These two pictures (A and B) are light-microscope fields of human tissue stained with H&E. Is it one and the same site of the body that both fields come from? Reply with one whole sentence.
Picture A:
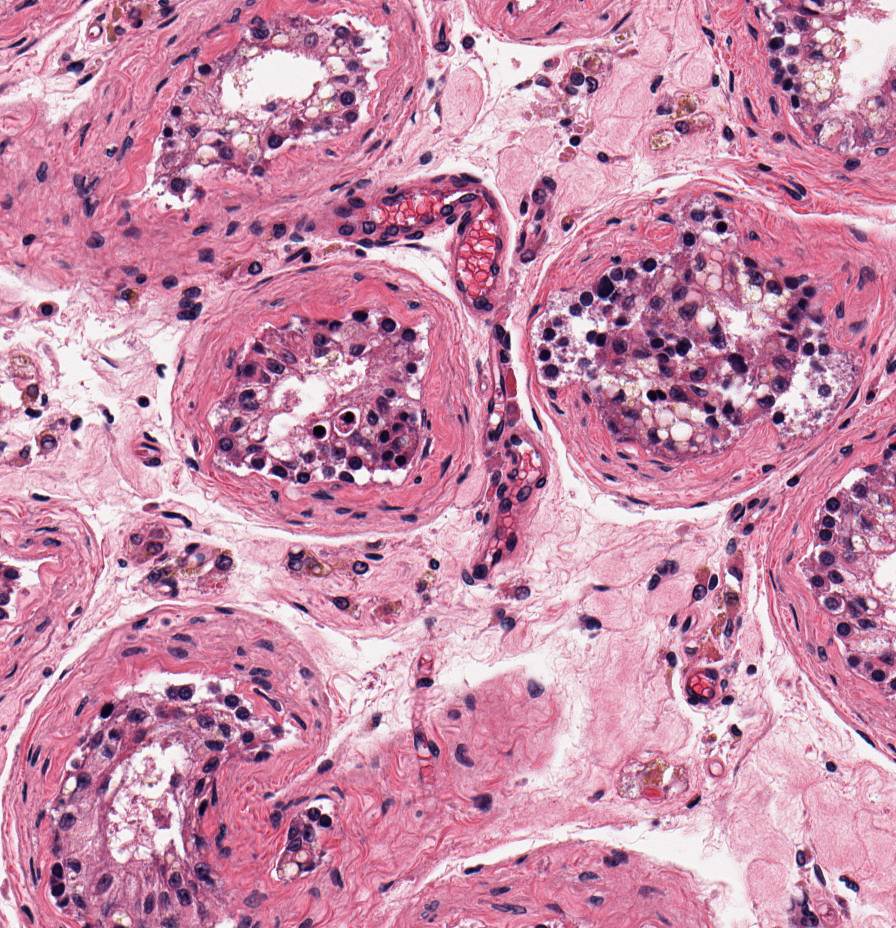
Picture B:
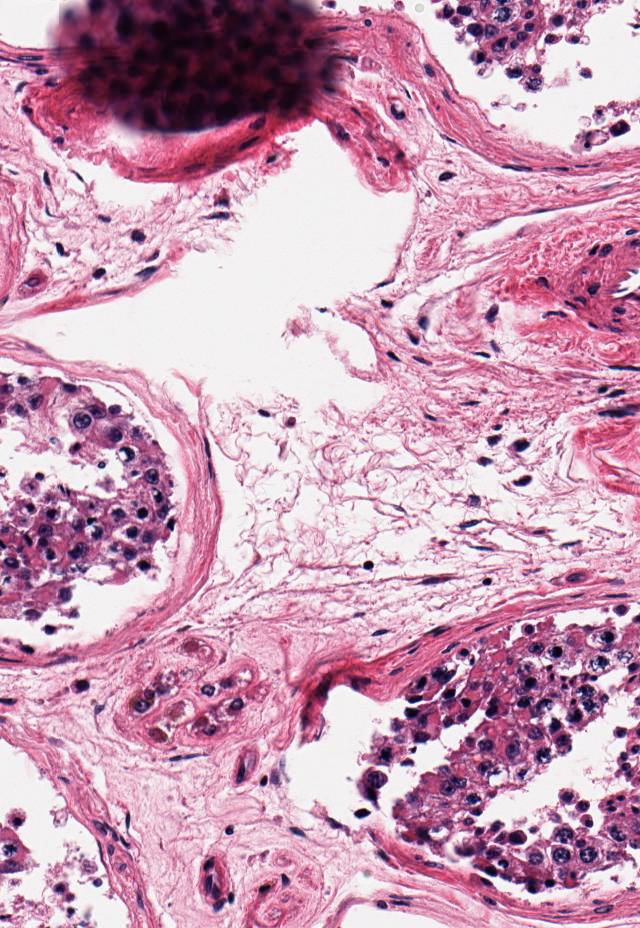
Yes; both pictures come from the testis.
